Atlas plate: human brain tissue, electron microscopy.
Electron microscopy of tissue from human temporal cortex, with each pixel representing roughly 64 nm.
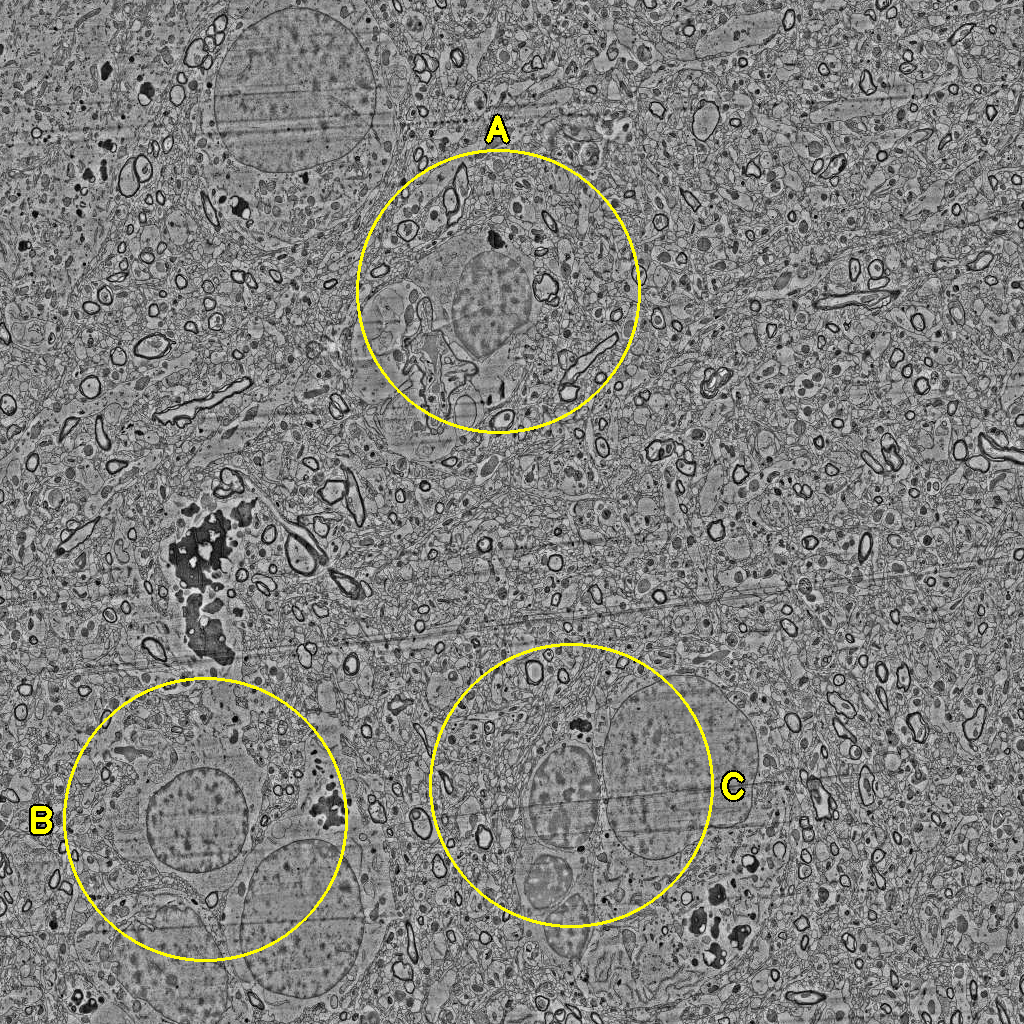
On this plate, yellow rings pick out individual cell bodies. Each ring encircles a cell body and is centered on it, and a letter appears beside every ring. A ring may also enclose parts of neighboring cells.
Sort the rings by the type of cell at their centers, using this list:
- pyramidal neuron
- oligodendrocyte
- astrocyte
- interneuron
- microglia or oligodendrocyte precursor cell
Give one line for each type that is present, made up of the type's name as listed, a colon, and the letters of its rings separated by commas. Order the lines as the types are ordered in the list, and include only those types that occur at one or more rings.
oligodendrocyte: A, C
astrocyte: B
